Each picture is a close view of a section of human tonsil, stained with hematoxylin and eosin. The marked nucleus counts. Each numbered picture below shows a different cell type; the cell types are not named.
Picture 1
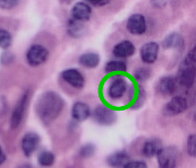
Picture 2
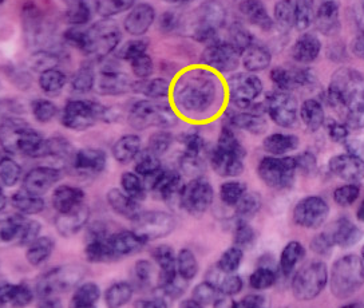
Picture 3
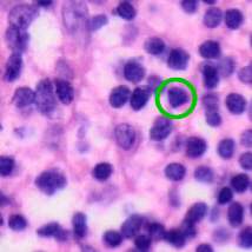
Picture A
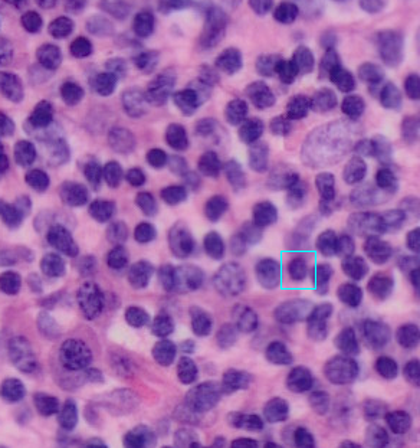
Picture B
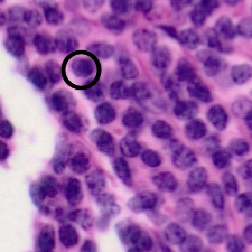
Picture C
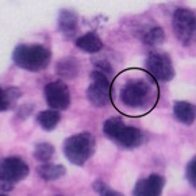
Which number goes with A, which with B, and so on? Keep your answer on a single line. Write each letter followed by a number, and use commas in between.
A 3, B 3, C 2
